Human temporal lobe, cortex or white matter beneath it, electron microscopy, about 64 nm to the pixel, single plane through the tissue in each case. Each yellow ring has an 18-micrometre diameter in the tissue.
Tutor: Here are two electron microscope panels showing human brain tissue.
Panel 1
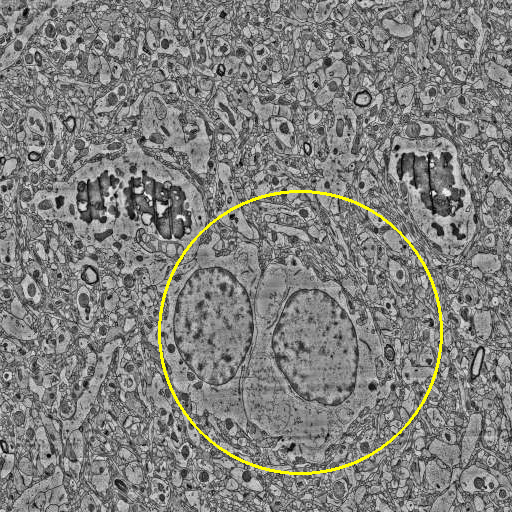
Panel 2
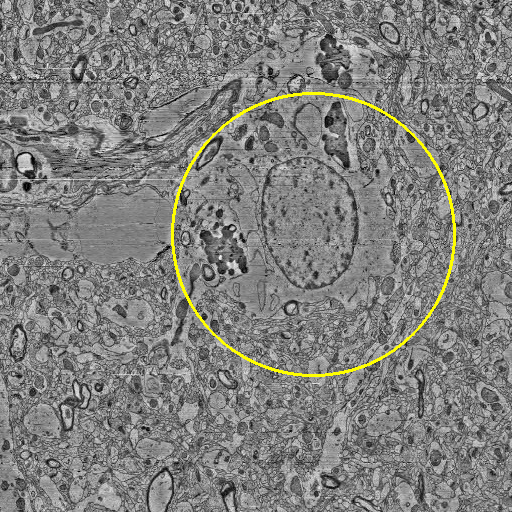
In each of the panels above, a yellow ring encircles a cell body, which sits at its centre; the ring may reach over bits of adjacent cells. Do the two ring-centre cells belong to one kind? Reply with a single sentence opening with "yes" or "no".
Yes, the two cells sitting at the ring centres in the panels belong to one kind.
